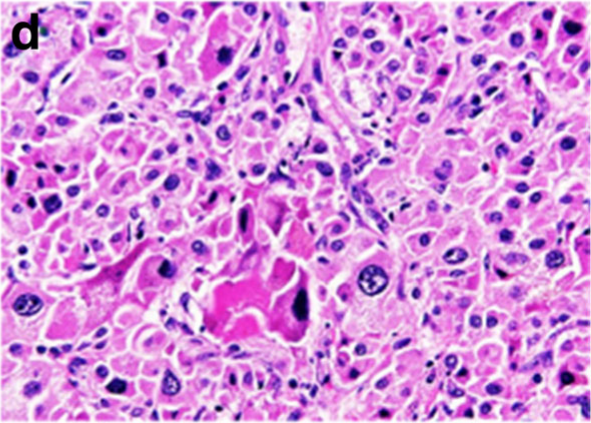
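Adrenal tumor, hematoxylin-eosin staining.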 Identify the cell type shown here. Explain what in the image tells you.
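Lipid-poor compact cells. Polygonal cells have dense pink cytoplasm without clear vacuoles. Cells are closely packed in sheets and nests.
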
